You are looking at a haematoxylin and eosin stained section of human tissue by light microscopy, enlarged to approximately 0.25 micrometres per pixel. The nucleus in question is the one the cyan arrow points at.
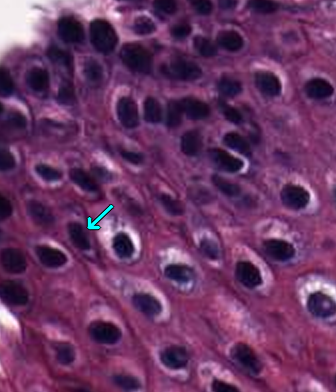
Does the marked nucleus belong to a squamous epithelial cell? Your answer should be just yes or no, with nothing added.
yes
